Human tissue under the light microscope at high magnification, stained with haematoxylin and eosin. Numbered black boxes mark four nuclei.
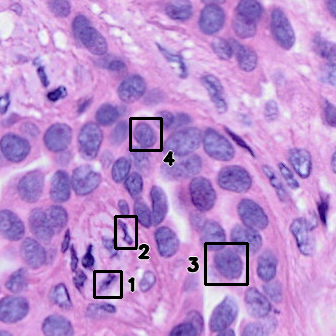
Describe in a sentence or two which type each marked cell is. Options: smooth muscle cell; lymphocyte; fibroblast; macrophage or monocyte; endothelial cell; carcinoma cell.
Cells 1 and 2 are fibroblasts. Cells 3 and 4 are carcinoma cells.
